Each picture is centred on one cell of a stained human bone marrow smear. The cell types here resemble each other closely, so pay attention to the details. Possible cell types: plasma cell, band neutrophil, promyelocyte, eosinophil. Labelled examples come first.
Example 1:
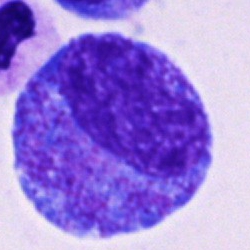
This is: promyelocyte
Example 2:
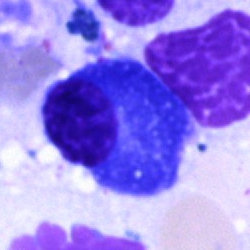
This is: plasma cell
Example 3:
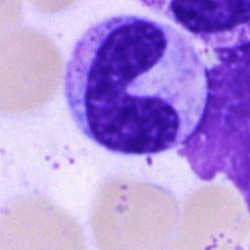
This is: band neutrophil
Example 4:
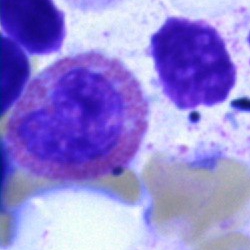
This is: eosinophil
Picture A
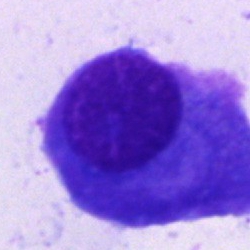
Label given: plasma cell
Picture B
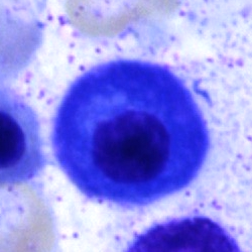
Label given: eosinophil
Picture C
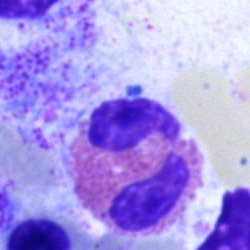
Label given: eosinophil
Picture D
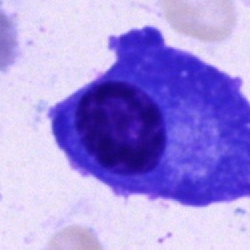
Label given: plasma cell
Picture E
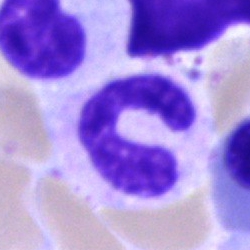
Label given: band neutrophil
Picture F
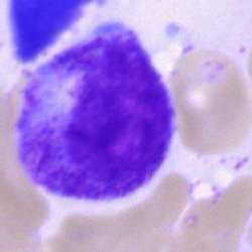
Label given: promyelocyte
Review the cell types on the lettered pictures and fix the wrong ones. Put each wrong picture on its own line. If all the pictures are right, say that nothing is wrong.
Wrong: B (eosinophil); correct: plasma cell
